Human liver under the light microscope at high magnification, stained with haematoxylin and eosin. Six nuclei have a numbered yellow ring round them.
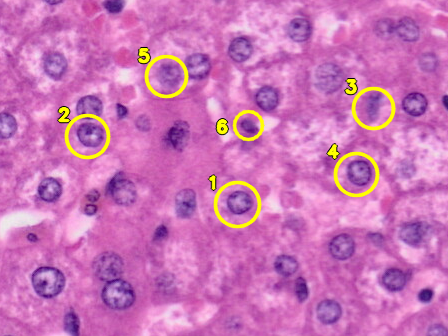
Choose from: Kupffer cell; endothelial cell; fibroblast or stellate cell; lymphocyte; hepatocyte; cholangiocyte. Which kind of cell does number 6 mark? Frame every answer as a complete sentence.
Number 6 among the marked cells is a Kupffer cell.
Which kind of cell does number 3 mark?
Cell number 3 in this section is an endothelial cell.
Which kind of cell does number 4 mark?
The cell pointed out by number 4 is a hepatocyte.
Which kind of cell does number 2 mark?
The cell referenced by the number 2 is a hepatocyte in this field.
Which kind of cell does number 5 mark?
The correct answer for cell 5 is a hepatocyte.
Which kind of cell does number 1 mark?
The marked cell bearing number 1 is a hepatocyte.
